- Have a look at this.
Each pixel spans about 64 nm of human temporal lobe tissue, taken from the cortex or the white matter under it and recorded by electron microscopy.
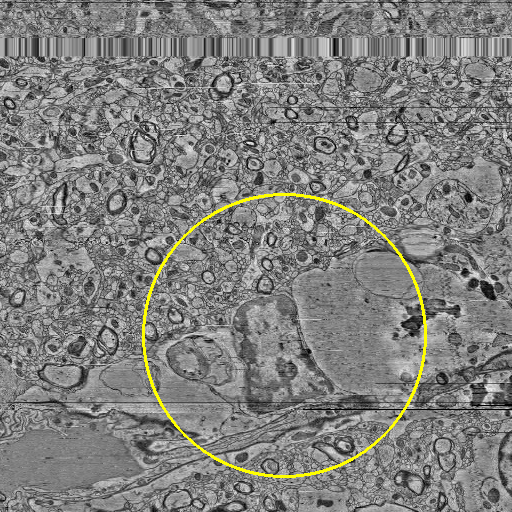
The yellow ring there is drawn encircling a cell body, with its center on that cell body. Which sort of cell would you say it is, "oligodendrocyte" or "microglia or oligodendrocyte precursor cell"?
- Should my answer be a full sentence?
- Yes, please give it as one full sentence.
For this picture, a microglial cell or oligodendrocyte precursor cell is the cell where the yellow ring has its center.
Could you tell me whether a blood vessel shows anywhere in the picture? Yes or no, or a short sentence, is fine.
Yes.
